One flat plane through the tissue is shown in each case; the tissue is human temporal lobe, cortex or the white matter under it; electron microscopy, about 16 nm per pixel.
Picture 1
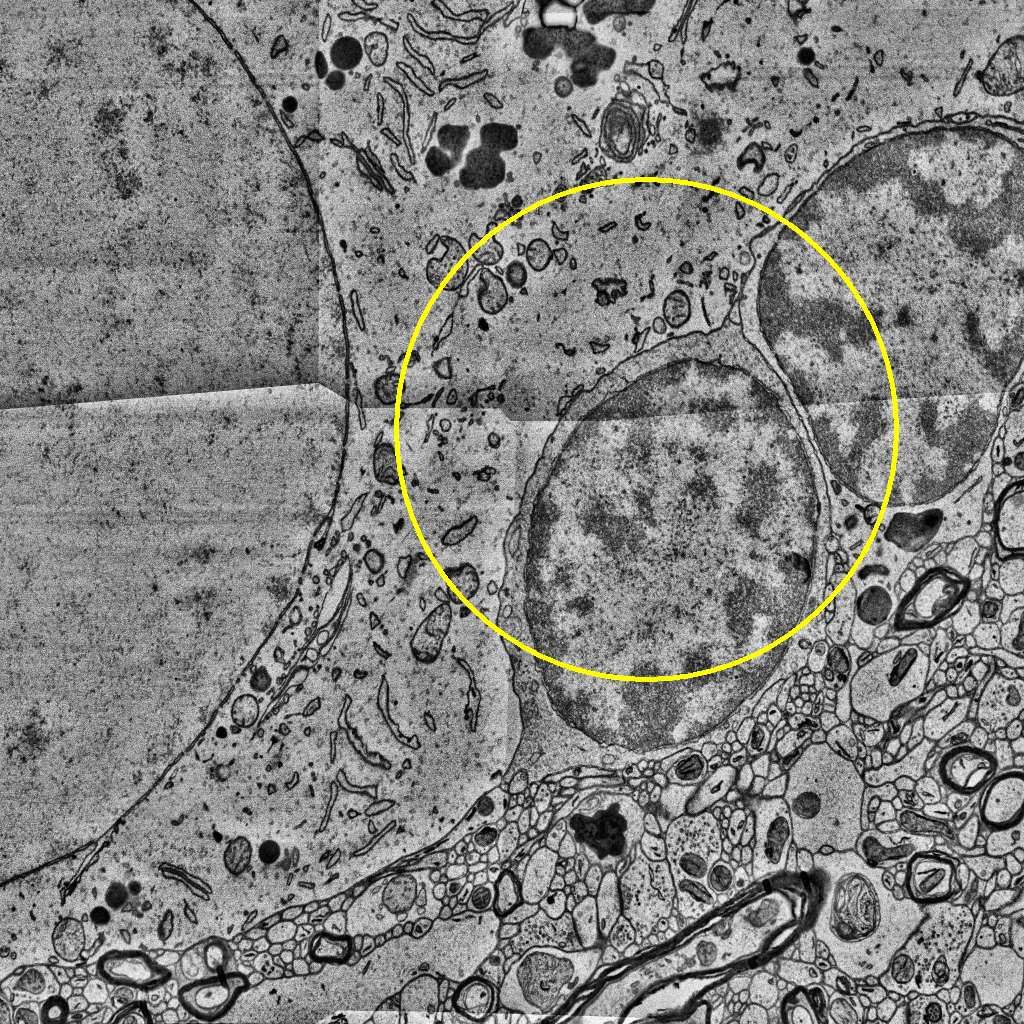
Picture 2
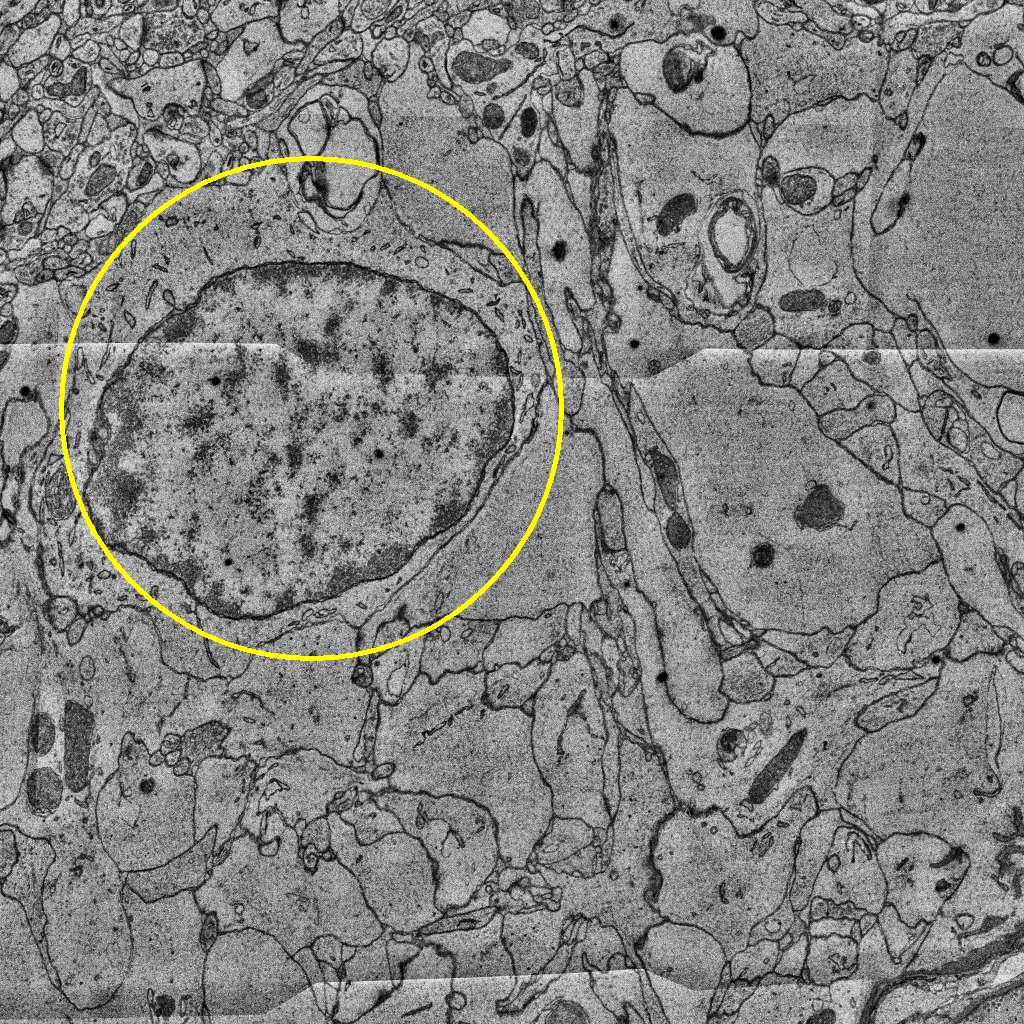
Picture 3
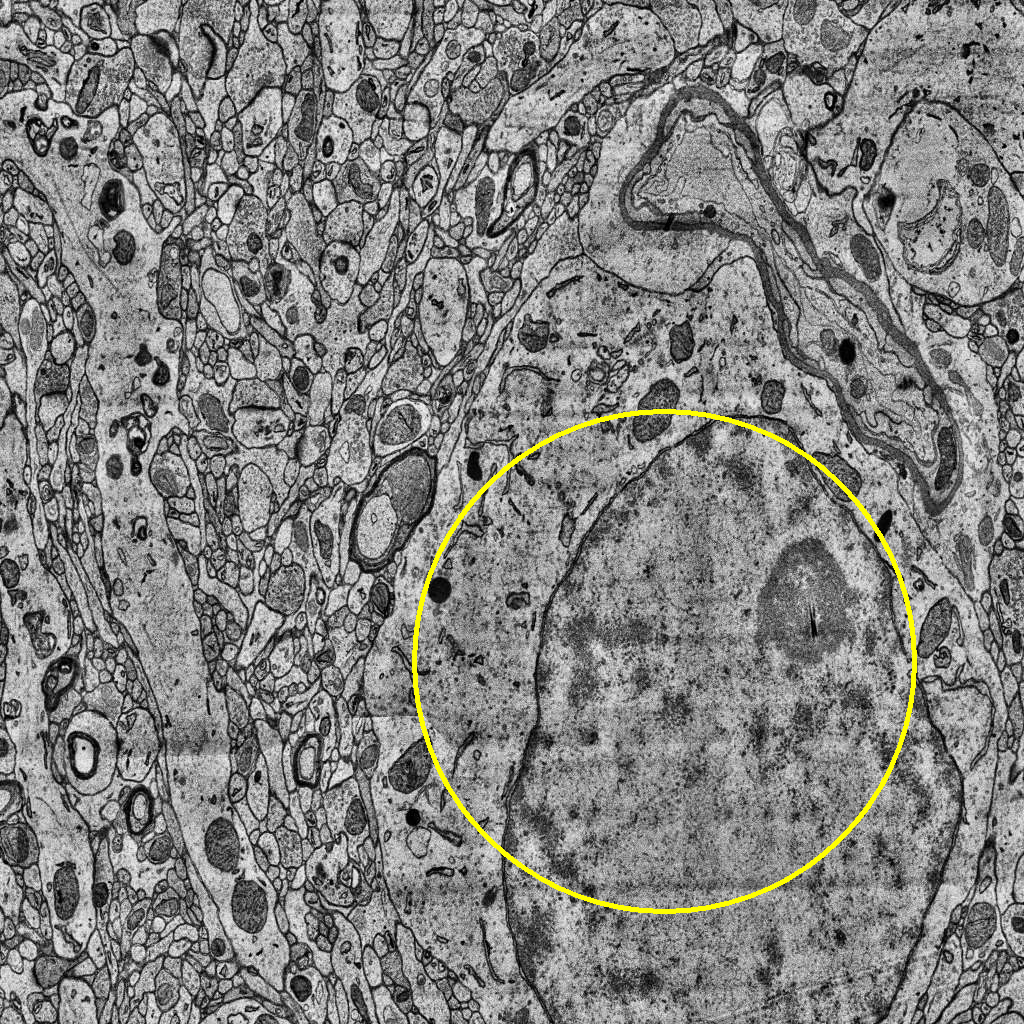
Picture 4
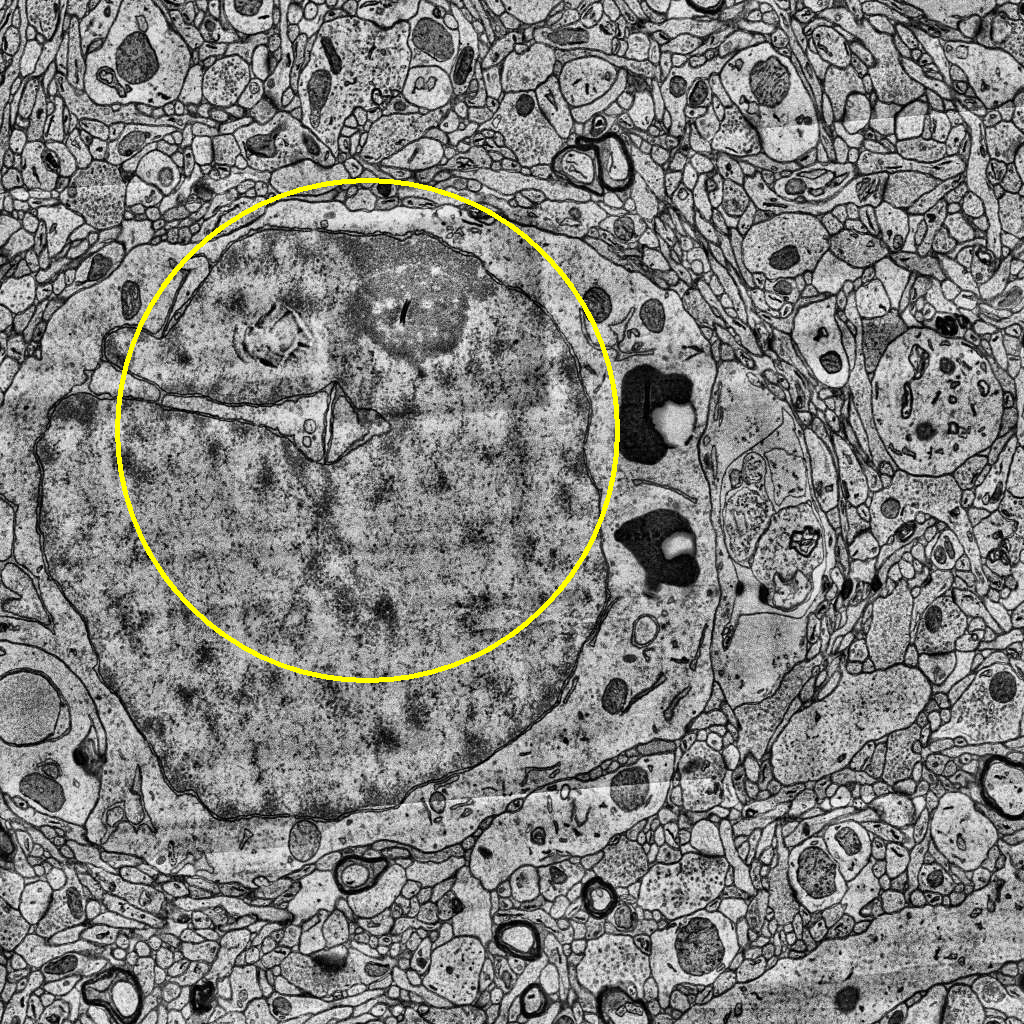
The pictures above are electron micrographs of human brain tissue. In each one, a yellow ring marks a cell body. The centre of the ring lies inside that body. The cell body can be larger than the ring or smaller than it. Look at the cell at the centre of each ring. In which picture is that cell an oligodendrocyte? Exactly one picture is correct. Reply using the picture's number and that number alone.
1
